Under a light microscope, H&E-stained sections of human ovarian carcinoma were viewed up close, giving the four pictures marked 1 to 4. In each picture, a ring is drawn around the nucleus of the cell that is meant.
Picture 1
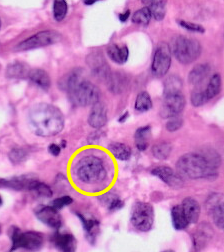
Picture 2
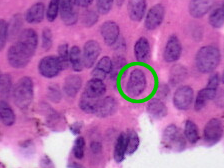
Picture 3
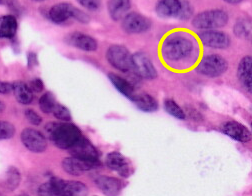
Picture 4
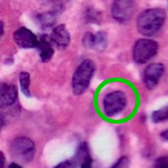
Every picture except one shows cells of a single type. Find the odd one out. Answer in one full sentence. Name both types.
Picture 4 differs, because its cell is a “macrophage or monocyte” and the rest are carcinoma cells.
